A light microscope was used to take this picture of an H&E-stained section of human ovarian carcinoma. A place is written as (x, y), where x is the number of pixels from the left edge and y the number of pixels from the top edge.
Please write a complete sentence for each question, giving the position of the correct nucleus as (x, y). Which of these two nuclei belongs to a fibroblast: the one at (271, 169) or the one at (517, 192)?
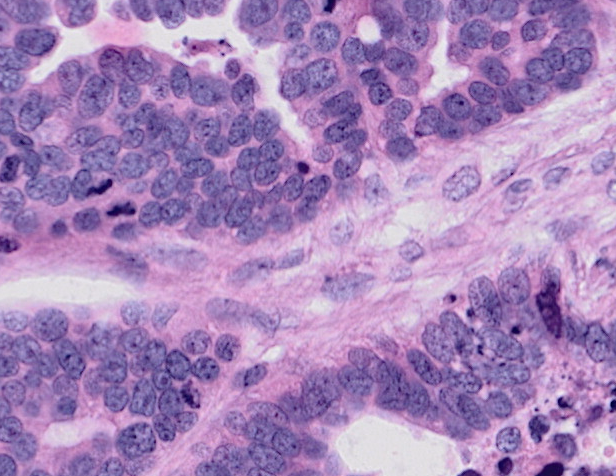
The nucleus that belongs to a fibroblast sits at (517, 192).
